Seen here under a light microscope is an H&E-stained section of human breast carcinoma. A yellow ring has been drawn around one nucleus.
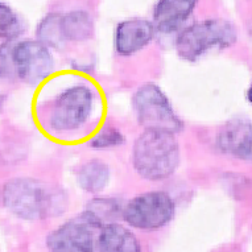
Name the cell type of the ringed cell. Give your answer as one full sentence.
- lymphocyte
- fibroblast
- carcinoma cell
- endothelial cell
At the level of cell identity, the ringed cell is a carcinoma cell.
